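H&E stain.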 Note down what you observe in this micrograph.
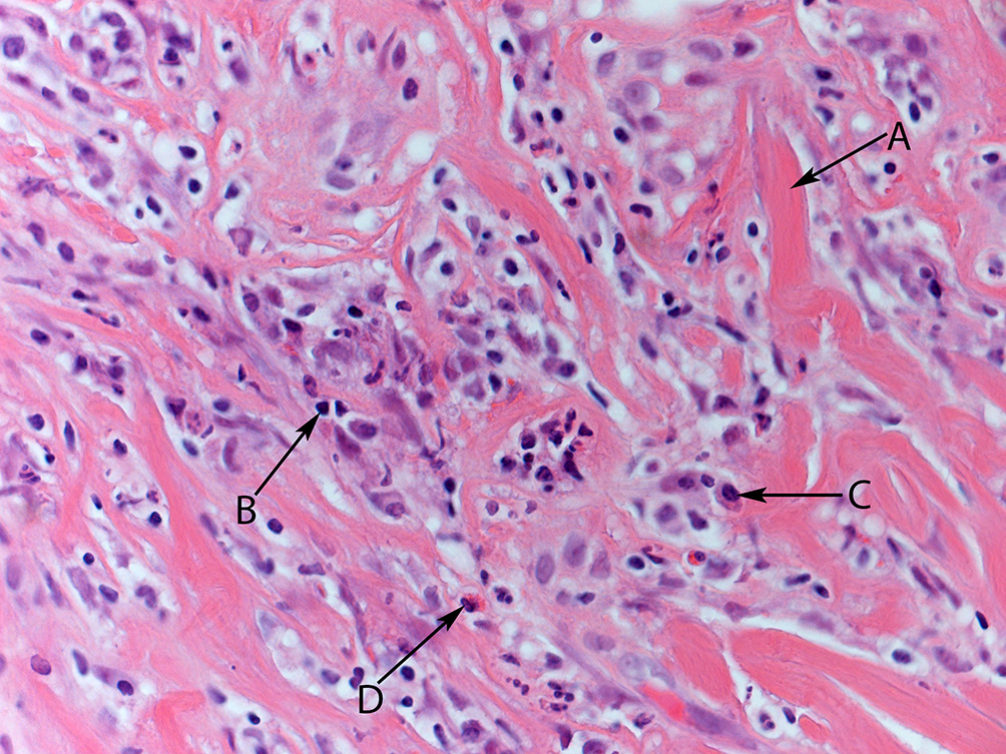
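This is fibrous connective tissue with coarse collagenous bundles infiltrated by chronic inflammatory cells. Thick, homogeneous, bright pink bands of collagen run in different directions, and between them lie loosely scattered cells. Among these are small lymphocytes with round, dense, dark nuclei and scant cytoplasm, and plasma cells with eccentric round nuclei and a rim of purplish cytoplasm. Occasional eosinophils stand out by their bright red-orange granular cytoplasm.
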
